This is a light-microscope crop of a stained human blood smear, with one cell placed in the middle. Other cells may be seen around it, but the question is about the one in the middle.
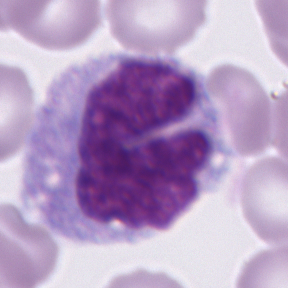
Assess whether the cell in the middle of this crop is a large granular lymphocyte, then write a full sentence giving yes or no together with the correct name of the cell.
No, the centred cell is a monocyte, and it is not a large granular lymphocyte.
